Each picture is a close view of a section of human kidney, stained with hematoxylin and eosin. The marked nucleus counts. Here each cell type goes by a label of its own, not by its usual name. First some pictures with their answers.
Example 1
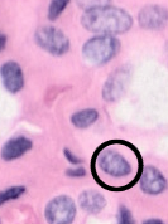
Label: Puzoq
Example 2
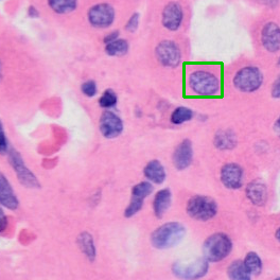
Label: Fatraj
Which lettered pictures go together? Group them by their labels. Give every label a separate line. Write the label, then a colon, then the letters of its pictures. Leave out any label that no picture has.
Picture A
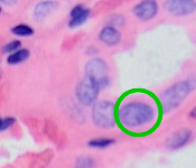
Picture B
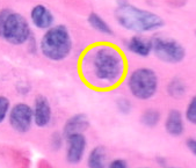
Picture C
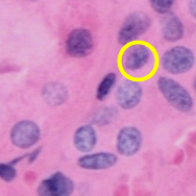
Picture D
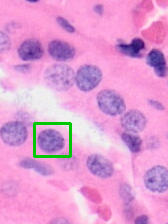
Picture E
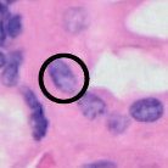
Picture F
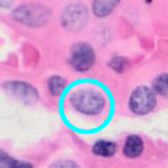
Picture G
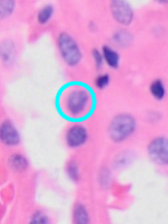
Puzoq: A, B, C, D, E, F
Fatraj: G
